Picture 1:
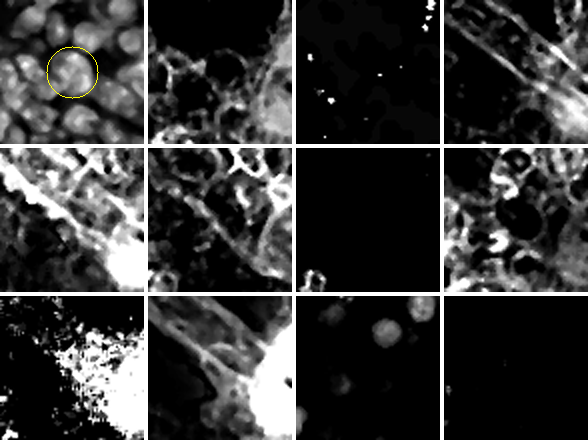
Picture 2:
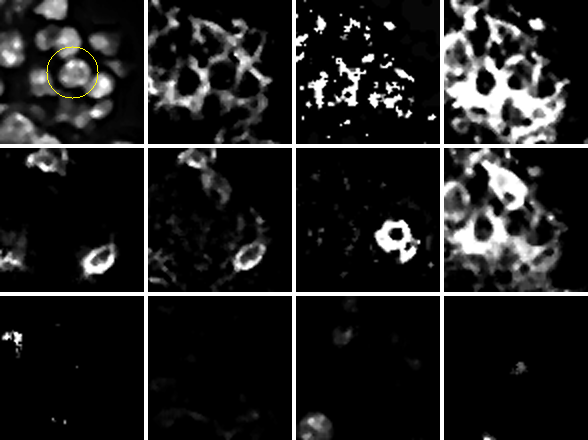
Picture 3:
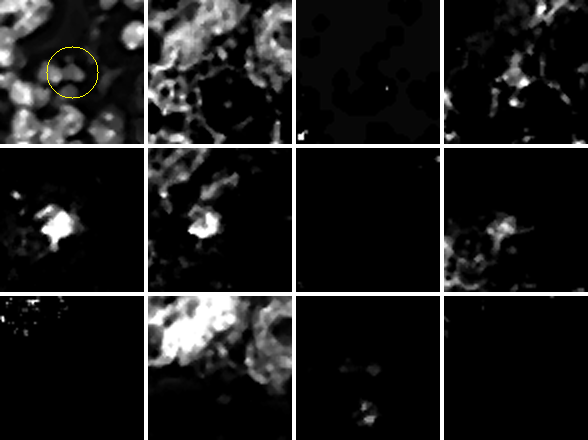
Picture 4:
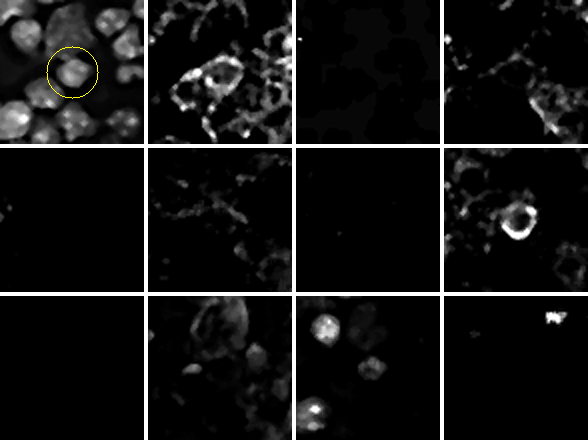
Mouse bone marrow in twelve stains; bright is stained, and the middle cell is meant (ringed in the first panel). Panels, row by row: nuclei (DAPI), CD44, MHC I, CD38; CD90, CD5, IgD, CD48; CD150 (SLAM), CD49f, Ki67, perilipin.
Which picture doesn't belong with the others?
Picture 2.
